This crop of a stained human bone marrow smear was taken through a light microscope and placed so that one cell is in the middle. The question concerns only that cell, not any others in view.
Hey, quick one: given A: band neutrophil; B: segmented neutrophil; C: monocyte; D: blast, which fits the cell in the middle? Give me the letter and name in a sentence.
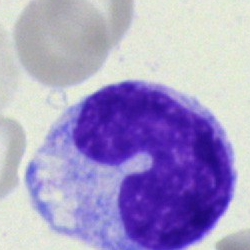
Of the choices given, option C is right, as the central cell is a monocyte.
